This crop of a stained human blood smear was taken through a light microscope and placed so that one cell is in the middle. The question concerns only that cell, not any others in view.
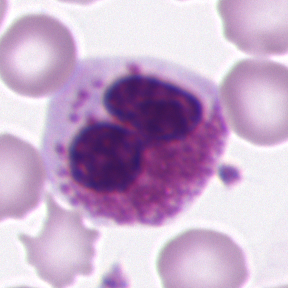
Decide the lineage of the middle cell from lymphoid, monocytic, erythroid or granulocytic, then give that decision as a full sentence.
For the cell at the center, the lineage is granulocytic.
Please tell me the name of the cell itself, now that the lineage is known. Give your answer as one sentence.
The cell marked by its central position in the crop is an eosinophil.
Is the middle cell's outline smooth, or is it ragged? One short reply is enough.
The outline traces a smooth curve with no projections along it.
